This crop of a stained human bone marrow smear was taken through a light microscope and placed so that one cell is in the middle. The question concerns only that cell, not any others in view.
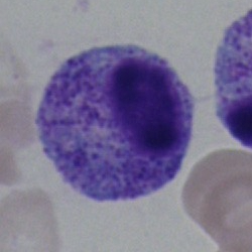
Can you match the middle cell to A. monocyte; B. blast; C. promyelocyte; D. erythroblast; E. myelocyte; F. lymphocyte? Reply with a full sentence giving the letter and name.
The cell in the middle is a myelocyte, and that makes option E correct.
